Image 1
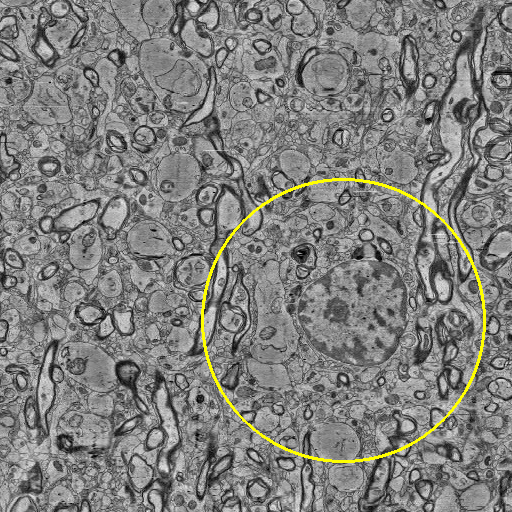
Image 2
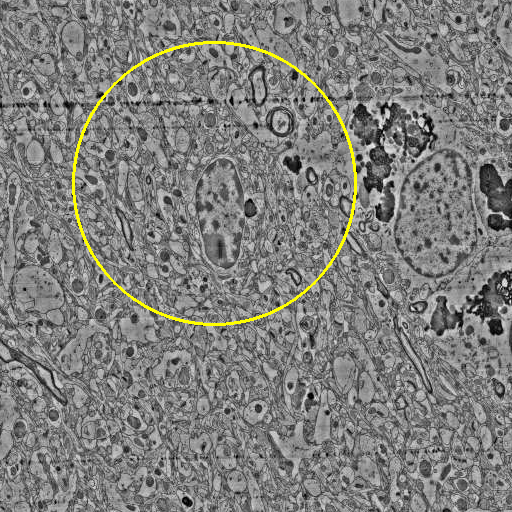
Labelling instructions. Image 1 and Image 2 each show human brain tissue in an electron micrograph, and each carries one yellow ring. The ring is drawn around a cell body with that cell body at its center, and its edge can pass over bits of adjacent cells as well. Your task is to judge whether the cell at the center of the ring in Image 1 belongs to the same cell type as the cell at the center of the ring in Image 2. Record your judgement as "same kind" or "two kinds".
same kind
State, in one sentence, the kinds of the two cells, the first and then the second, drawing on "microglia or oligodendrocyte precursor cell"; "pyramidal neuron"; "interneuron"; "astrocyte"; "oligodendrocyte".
In the first picture and in the second, the ring is centred on a microglial cell or oligodendrocyte precursor cell.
